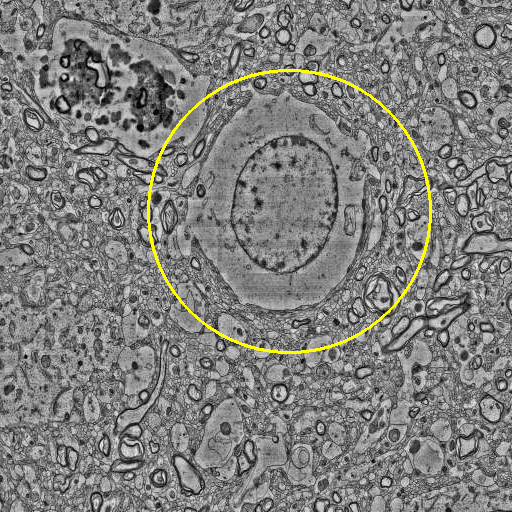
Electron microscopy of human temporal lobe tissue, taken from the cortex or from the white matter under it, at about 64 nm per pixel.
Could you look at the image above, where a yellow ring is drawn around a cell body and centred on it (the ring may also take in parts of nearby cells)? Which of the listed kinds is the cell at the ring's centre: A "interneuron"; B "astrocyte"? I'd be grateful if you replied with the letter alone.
B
